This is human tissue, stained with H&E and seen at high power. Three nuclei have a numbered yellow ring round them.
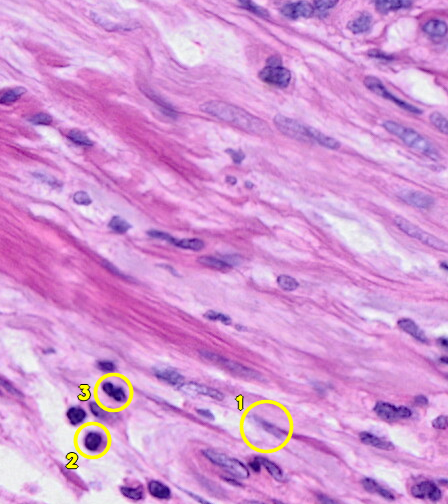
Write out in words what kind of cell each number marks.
Cell 1 is a fibroblast. Cells 2 and 3 are lymphocytes.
